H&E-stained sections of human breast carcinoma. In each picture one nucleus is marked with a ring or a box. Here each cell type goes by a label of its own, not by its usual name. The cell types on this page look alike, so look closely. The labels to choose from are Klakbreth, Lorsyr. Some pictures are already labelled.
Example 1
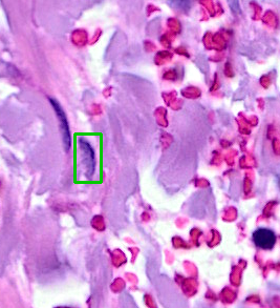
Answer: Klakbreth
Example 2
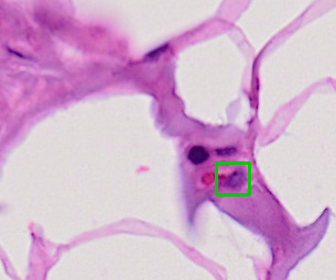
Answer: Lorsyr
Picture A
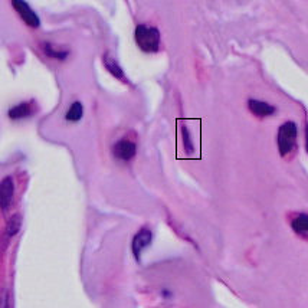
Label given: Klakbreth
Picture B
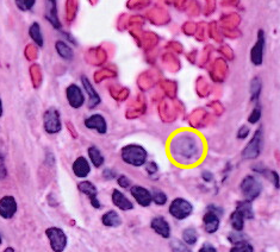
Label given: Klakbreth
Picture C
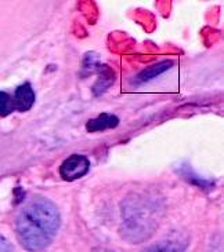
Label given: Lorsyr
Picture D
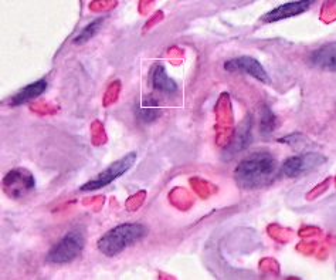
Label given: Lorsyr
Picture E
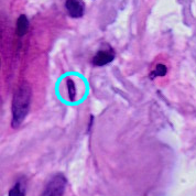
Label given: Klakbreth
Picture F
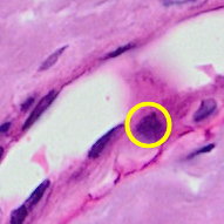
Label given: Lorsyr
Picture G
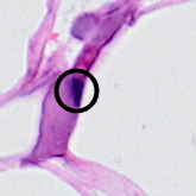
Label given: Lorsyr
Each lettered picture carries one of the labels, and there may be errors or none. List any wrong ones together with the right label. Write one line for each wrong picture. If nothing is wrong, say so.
Wrong: B (Klakbreth); correct: Lorsyr
Wrong: G (Lorsyr); correct: Klakbreth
